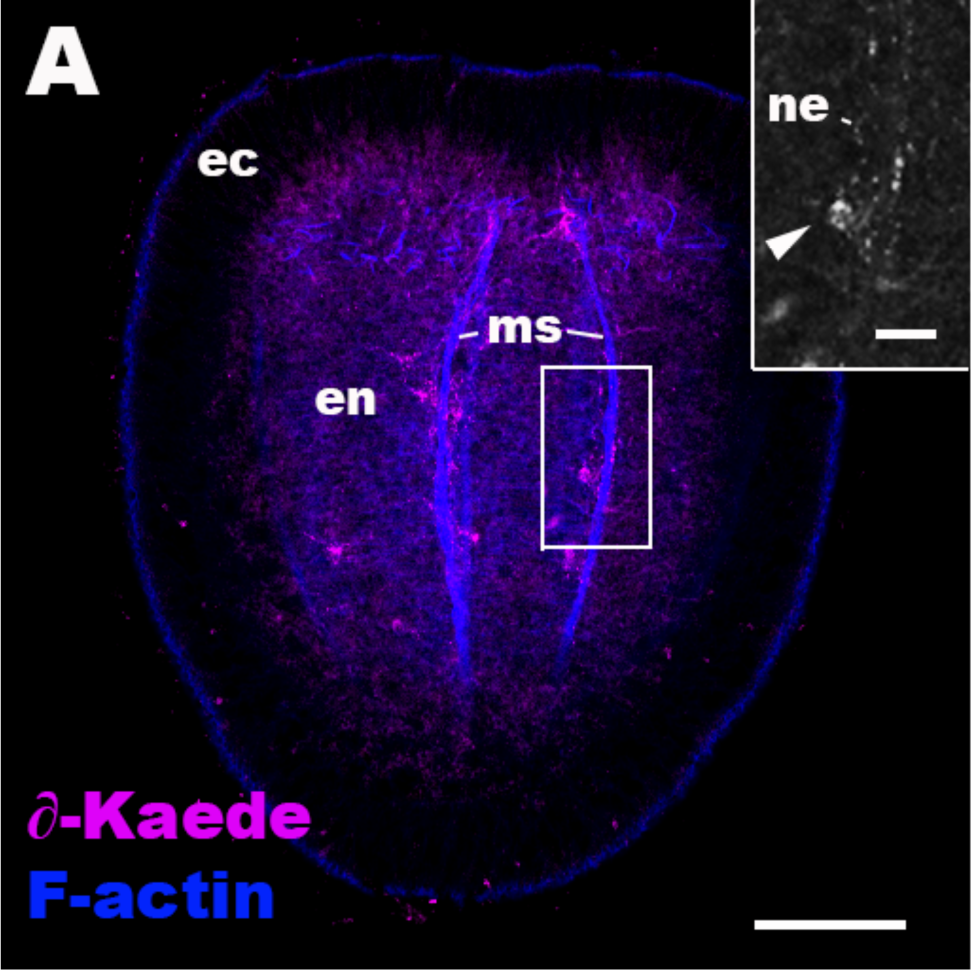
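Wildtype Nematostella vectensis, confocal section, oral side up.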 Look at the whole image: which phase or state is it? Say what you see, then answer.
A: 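Planula. The body is ovoid with no tentacles. An outer columnar cell layer surrounds an inner layer. Two longitudinal muscle bands run through the inner layer.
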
